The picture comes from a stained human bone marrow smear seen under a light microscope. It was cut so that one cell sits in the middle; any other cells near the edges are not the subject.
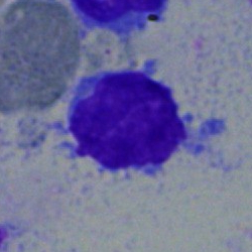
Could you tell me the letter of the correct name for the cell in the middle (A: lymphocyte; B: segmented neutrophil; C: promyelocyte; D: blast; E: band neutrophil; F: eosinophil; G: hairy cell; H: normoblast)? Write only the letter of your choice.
A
